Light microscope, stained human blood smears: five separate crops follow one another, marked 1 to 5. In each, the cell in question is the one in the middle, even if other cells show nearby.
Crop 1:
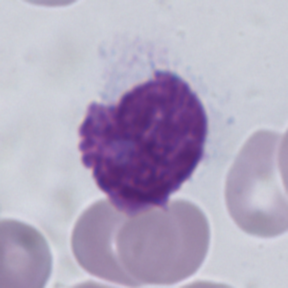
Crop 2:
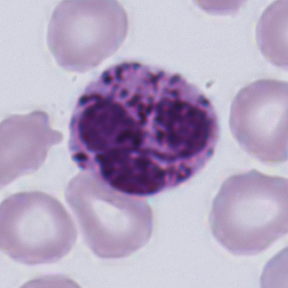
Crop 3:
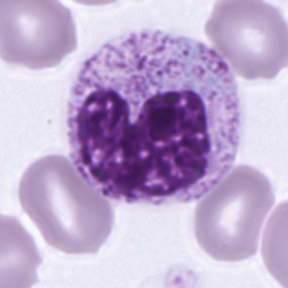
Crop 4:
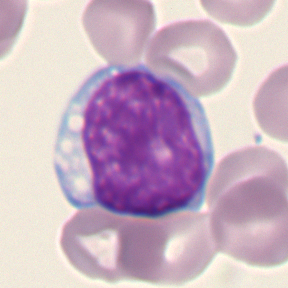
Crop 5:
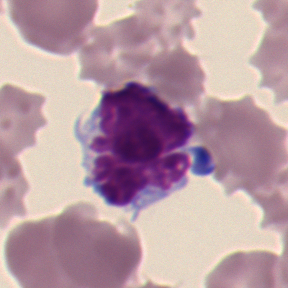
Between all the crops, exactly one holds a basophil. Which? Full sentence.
The one crop in the set with a basophil is crop 2.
